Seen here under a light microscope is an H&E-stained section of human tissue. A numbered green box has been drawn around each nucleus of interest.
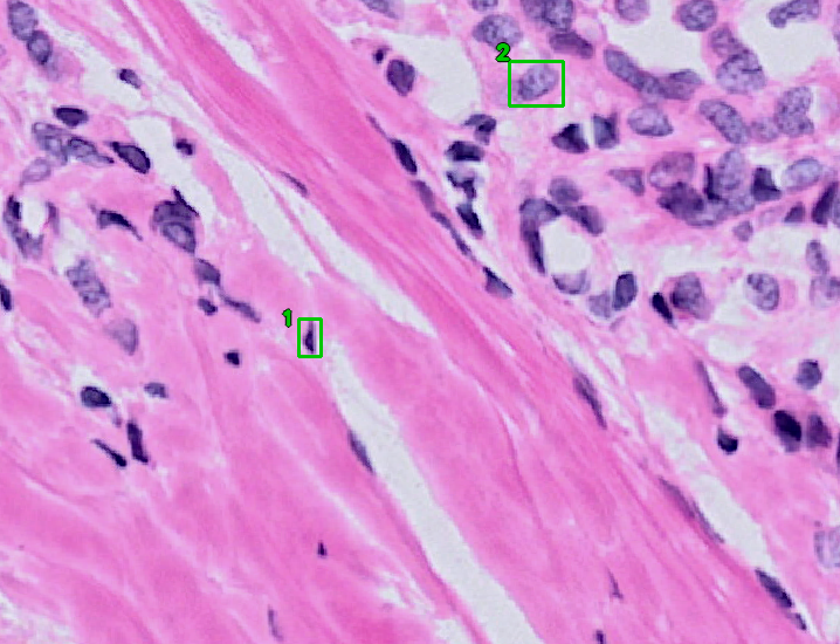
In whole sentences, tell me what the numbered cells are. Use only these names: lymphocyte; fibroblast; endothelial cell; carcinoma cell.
Cell 1 is a fibroblast and cell 2 is a carcinoma cell.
